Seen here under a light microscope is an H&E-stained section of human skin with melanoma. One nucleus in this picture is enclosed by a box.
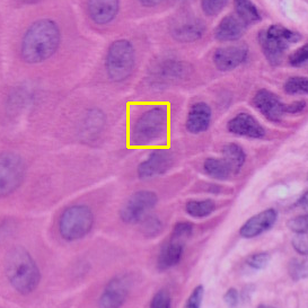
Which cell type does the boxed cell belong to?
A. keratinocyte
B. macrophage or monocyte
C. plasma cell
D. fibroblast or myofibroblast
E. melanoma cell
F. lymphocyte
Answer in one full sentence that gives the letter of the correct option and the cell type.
It is option A that is correct, the boxed cell being a keratinocyte.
